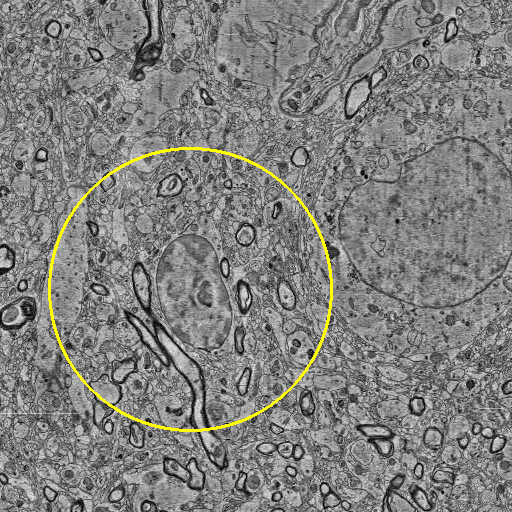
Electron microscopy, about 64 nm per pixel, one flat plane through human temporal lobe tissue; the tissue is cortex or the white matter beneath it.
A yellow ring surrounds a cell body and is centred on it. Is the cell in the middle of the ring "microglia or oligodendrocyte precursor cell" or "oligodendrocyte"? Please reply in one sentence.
The ring is centred on a microglial cell or oligodendrocyte precursor cell.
